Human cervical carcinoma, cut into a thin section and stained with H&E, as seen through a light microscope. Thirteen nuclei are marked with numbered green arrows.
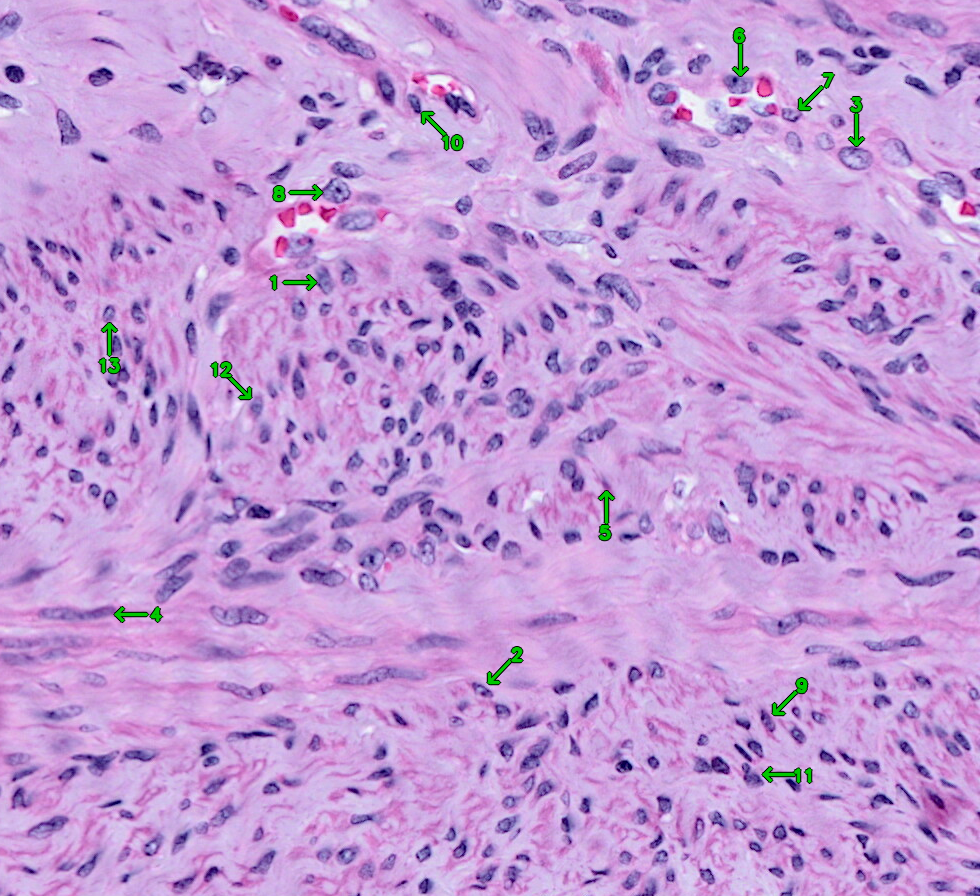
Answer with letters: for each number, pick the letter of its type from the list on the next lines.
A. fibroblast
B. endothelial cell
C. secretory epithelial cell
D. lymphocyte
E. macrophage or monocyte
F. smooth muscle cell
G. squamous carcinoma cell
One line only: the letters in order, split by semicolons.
F; F; B; F; F; B; B; B; F; B; A; F; F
